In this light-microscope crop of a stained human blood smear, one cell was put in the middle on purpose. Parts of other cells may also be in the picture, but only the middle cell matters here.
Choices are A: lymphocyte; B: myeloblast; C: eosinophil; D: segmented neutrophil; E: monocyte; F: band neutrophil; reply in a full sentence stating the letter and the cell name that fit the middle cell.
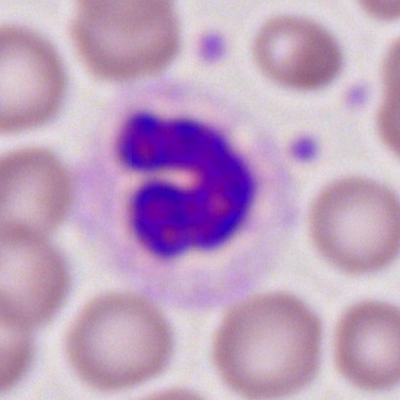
In the centre of the crop there is a band neutrophil, making option F correct.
